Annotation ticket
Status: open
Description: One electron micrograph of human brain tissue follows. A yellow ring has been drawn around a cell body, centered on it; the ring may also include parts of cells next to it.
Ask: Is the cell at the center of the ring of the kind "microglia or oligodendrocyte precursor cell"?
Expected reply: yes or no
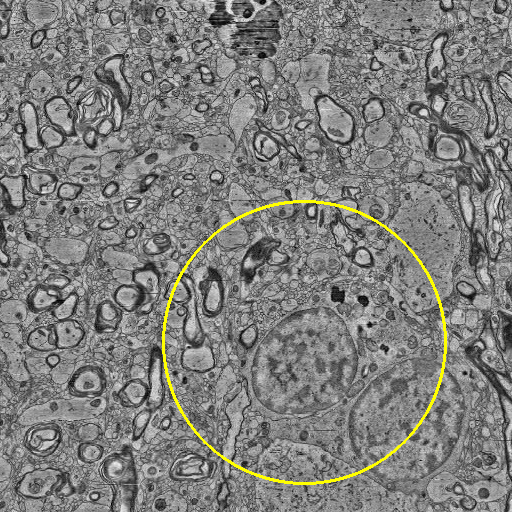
no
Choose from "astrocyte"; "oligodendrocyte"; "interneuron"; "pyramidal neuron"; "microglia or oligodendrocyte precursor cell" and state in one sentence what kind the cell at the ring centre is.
The ringed cell in this picture is, instead, an oligodendrocyte.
